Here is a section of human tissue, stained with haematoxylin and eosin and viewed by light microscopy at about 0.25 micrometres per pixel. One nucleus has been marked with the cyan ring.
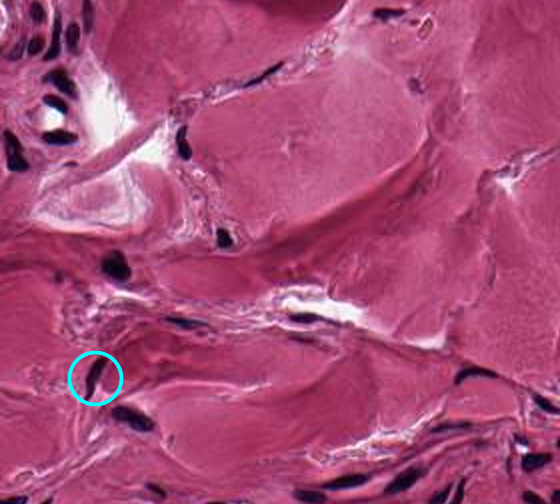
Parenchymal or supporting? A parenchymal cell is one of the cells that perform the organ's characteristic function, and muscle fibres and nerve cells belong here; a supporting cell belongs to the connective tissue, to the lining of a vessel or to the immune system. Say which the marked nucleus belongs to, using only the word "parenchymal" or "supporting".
supporting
